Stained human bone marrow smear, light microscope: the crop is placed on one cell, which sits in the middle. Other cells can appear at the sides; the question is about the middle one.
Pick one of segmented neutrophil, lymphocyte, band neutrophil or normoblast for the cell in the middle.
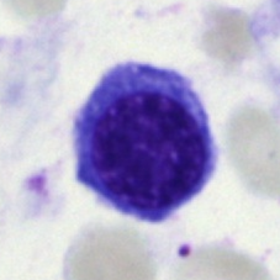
normoblast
